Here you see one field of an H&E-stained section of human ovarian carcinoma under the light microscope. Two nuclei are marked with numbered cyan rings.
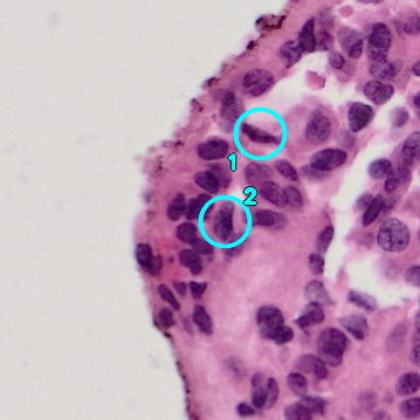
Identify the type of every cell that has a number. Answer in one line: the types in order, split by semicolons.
macrophage or monocyte; carcinoma cell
